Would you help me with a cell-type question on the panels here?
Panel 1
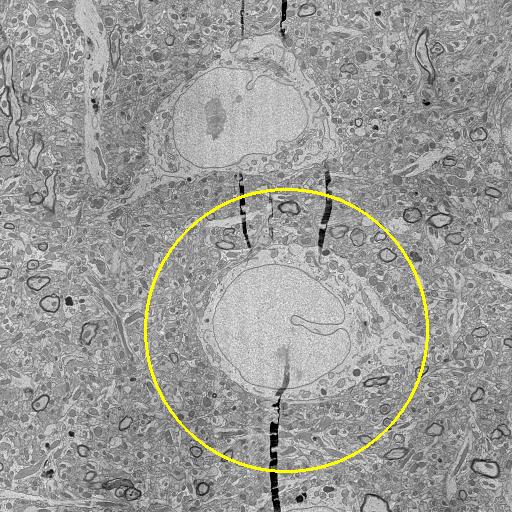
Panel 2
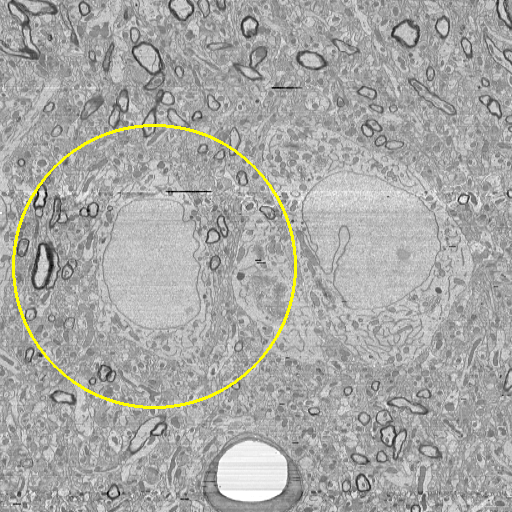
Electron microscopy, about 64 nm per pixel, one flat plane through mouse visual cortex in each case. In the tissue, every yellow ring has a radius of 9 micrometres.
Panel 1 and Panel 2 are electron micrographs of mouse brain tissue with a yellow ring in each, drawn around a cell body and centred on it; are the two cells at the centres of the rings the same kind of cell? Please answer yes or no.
yes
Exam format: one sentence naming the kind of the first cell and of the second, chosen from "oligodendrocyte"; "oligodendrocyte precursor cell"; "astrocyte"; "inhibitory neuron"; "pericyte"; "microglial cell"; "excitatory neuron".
Each of the two rings is centred on an excitatory neuron.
